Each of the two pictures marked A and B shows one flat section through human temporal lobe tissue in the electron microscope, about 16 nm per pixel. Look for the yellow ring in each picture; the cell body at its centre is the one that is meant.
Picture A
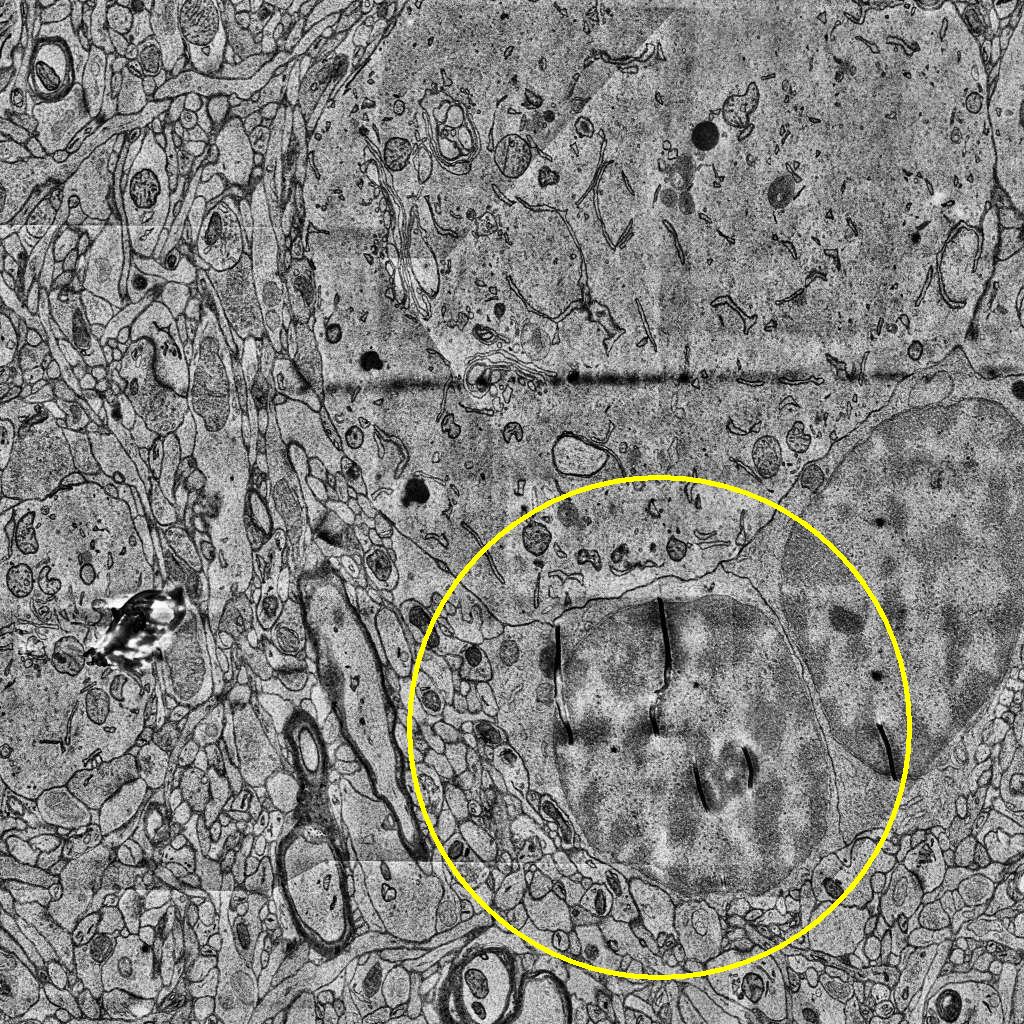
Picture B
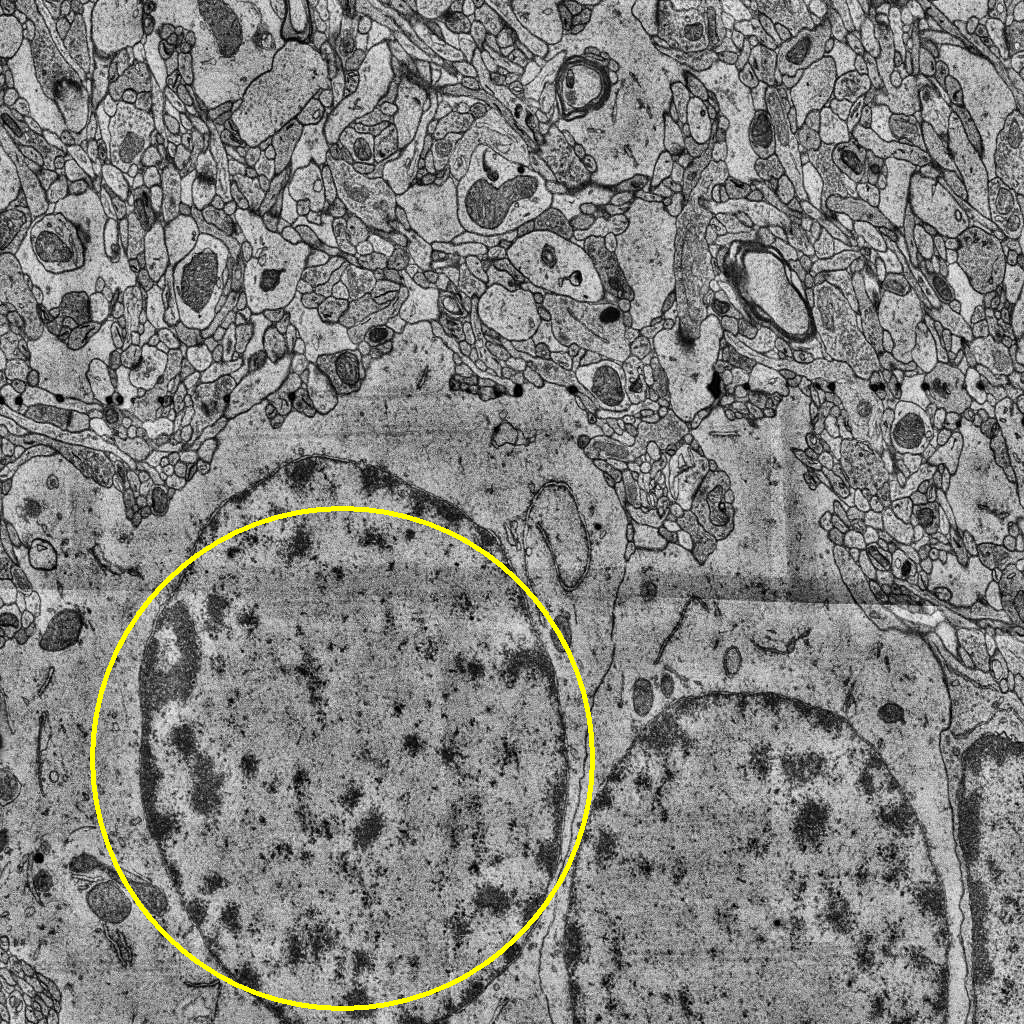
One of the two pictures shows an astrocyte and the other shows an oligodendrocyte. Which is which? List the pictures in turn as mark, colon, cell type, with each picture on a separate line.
A: oligodendrocyte
B: astrocyte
